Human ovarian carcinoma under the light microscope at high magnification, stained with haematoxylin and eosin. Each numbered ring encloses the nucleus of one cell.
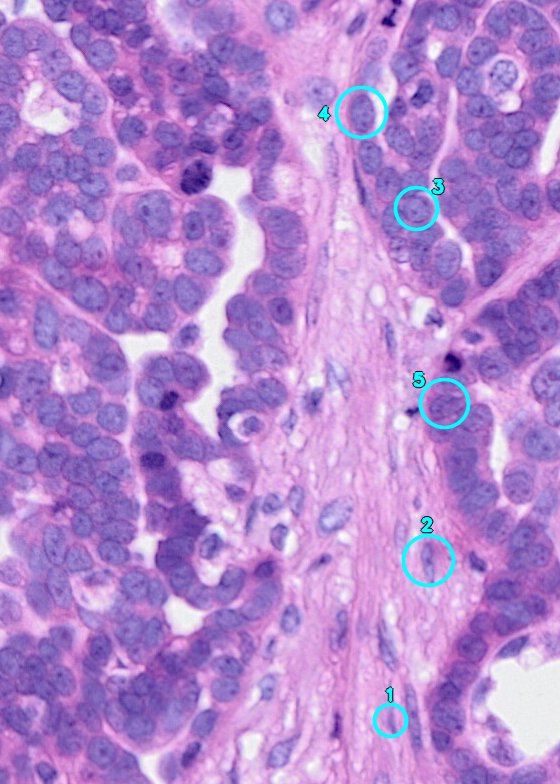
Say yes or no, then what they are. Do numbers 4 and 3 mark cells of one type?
Yes, both are carcinoma cells.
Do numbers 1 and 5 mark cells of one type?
No, cell 1 is a fibroblast and cell 5 is a carcinoma cell.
